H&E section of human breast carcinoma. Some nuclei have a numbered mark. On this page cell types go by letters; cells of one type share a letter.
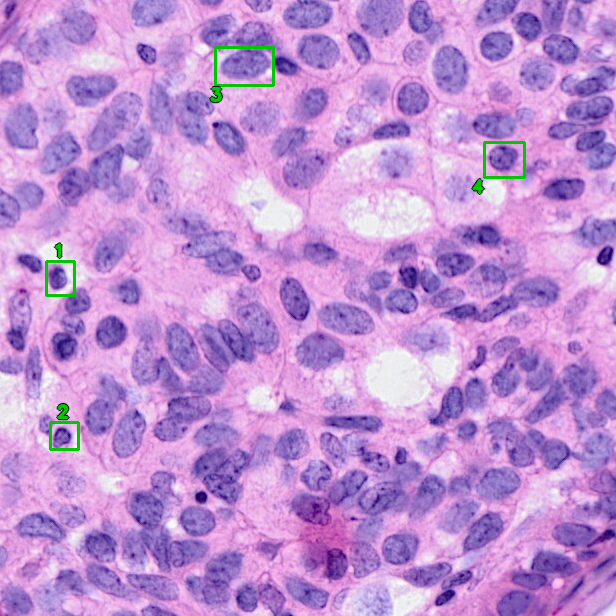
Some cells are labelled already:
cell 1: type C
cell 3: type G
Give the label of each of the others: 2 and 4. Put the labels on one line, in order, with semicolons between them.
type C; type G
